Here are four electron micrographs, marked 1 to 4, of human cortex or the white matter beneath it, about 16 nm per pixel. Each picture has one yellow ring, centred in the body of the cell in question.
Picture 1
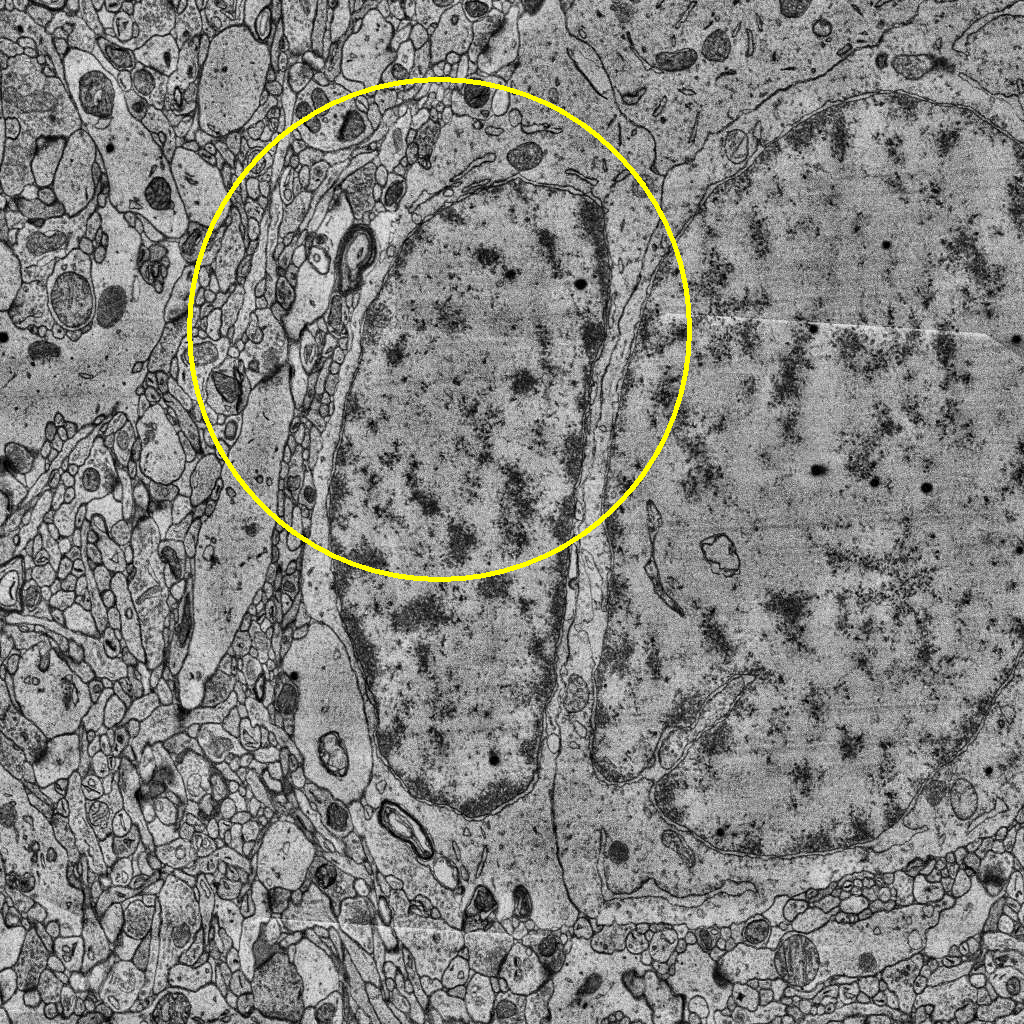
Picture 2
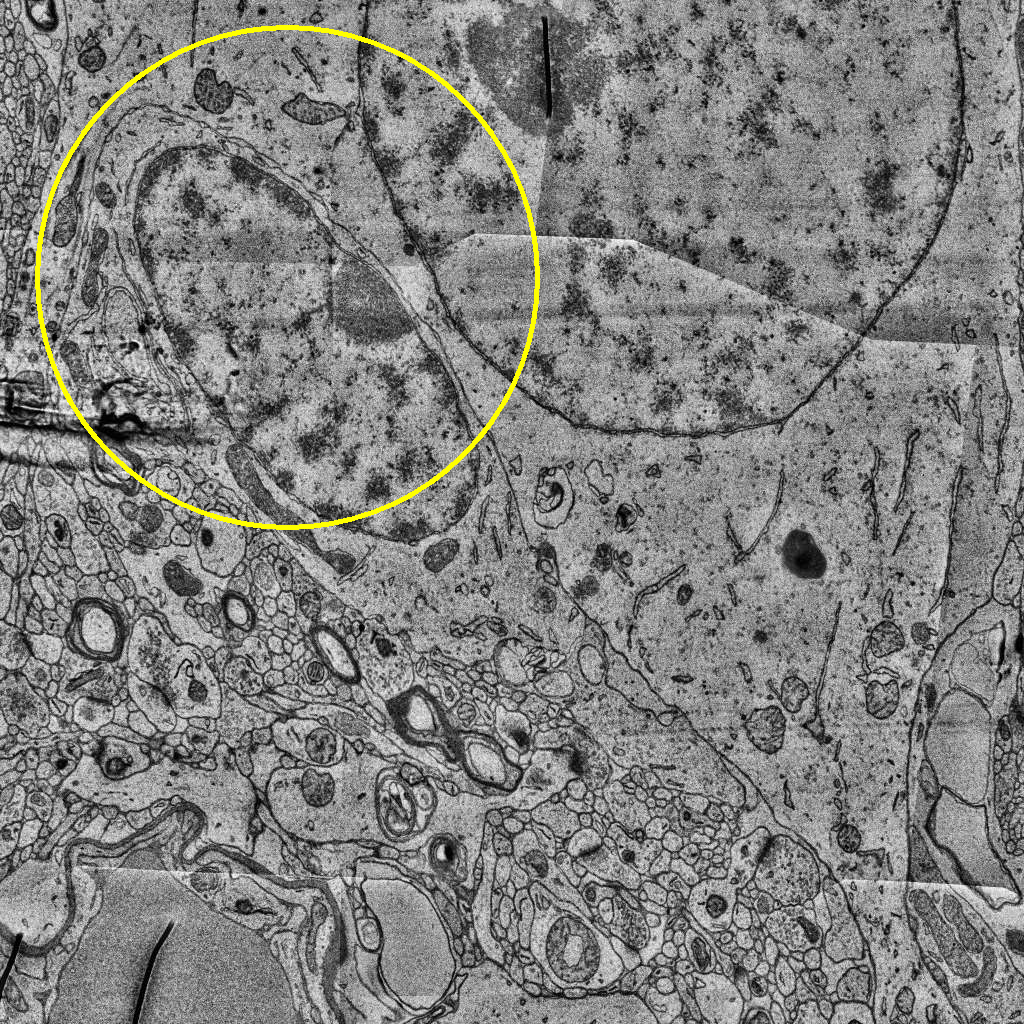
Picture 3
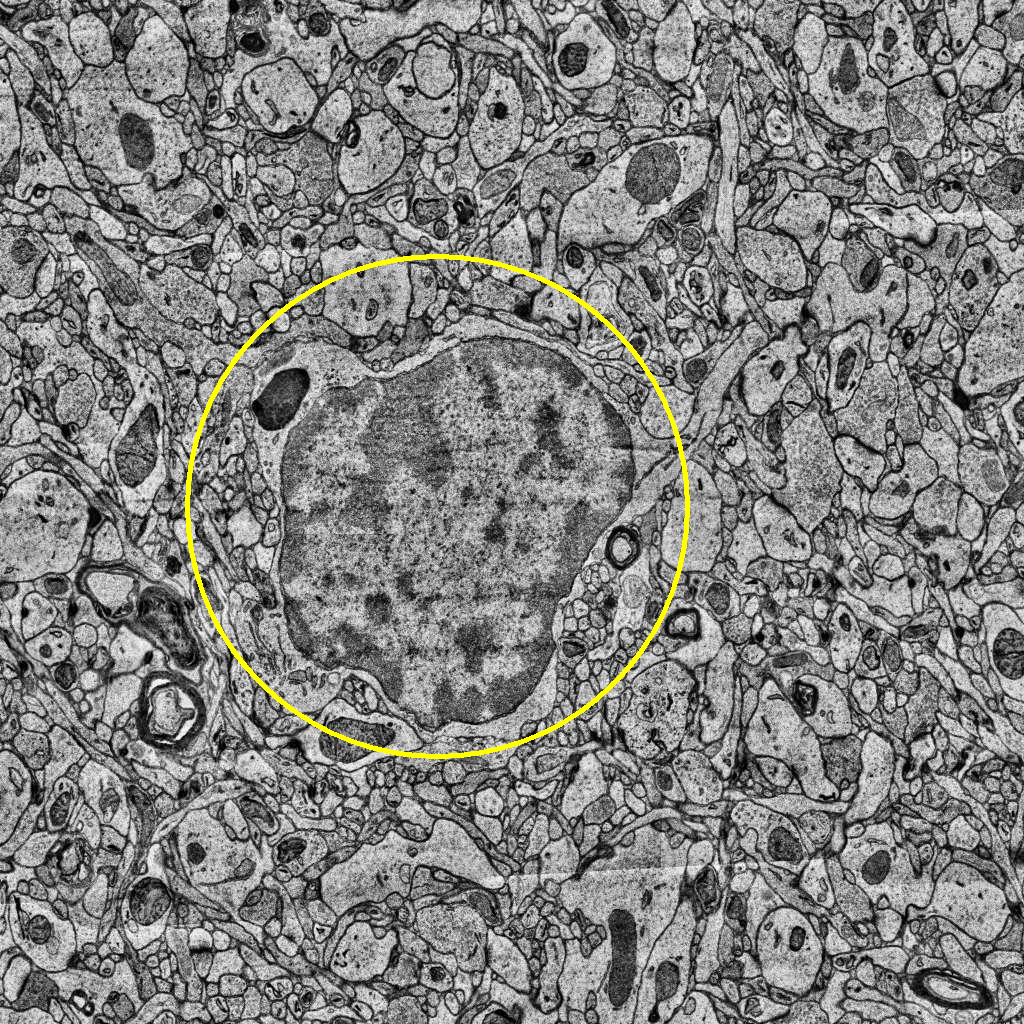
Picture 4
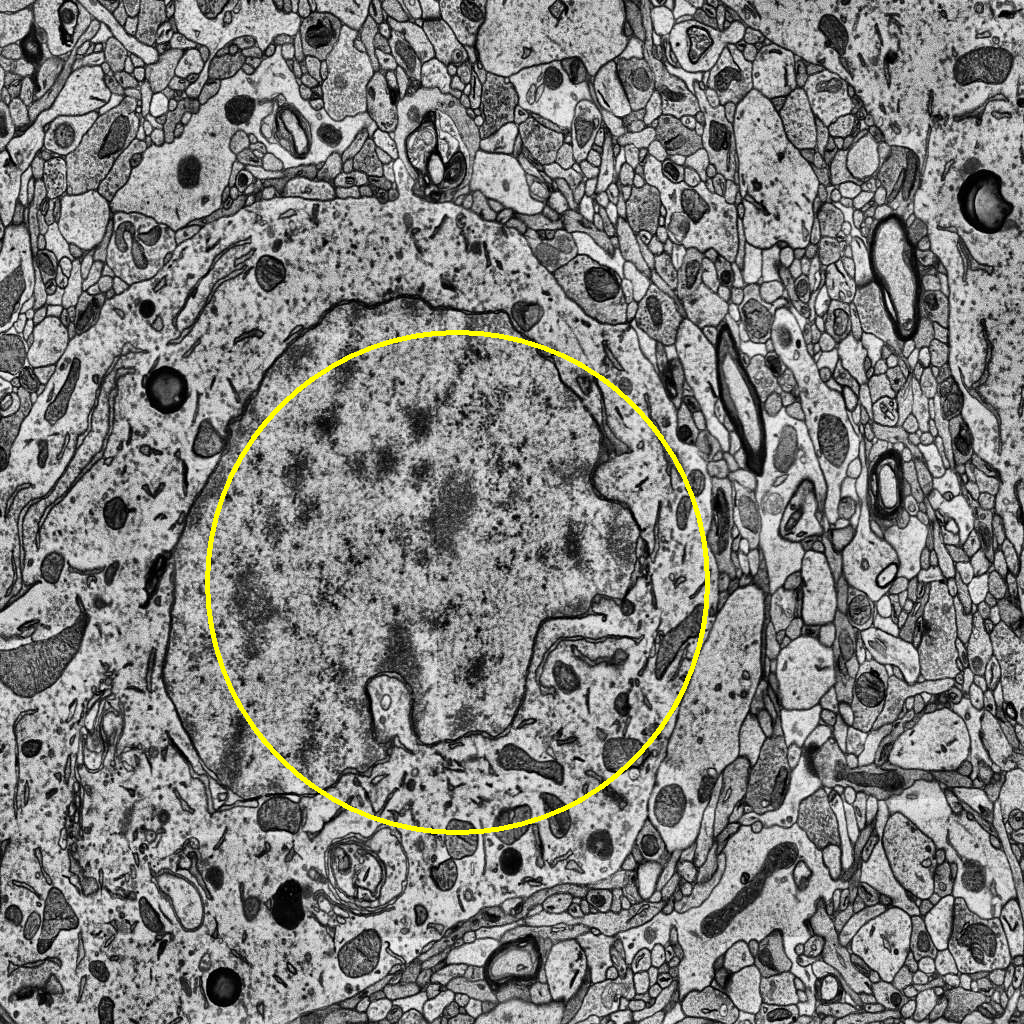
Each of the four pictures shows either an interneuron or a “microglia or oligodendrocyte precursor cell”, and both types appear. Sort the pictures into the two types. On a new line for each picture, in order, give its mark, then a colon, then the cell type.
1: microglia or oligodendrocyte precursor cell
2: microglia or oligodendrocyte precursor cell
3: microglia or oligodendrocyte precursor cell
4: interneuron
